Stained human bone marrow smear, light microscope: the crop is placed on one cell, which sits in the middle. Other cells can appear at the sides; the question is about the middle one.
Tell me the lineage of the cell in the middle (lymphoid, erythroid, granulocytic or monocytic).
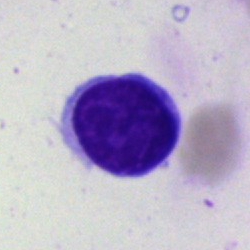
lymphoid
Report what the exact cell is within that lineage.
lymphocyte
